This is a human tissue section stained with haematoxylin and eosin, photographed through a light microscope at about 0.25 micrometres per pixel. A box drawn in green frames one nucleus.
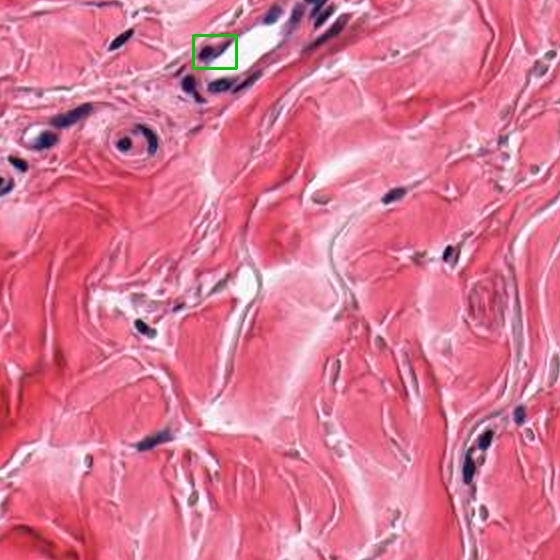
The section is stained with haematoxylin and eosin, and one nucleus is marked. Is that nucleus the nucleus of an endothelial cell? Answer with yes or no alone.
yes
